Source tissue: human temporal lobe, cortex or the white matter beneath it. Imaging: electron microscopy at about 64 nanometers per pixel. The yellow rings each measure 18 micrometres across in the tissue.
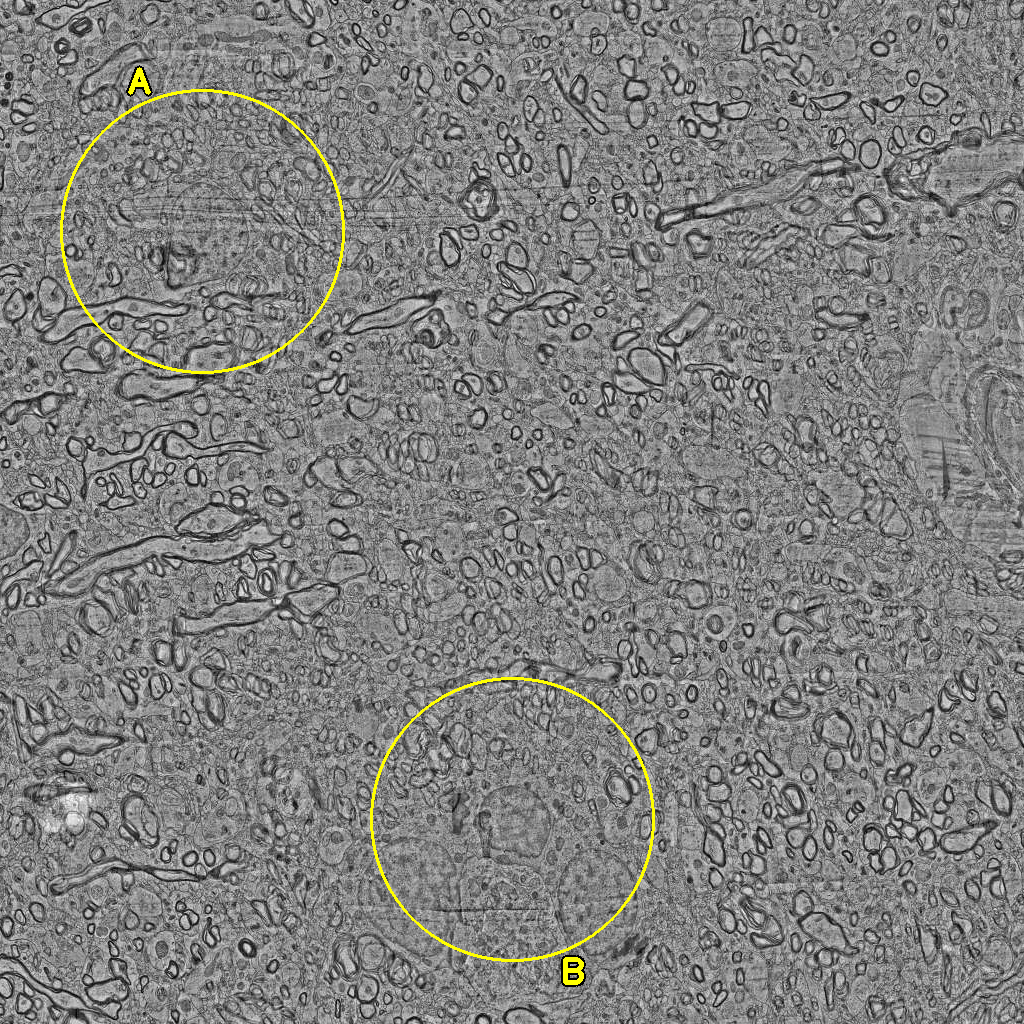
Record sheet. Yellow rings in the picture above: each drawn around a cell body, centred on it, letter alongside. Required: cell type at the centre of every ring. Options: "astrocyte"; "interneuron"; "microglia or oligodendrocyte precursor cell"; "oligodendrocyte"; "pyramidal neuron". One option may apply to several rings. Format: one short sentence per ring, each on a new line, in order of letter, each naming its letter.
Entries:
Ring A contains a microglial cell or oligodendrocyte precursor cell at the centre.
Ring B contains an oligodendrocyte at the centre.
